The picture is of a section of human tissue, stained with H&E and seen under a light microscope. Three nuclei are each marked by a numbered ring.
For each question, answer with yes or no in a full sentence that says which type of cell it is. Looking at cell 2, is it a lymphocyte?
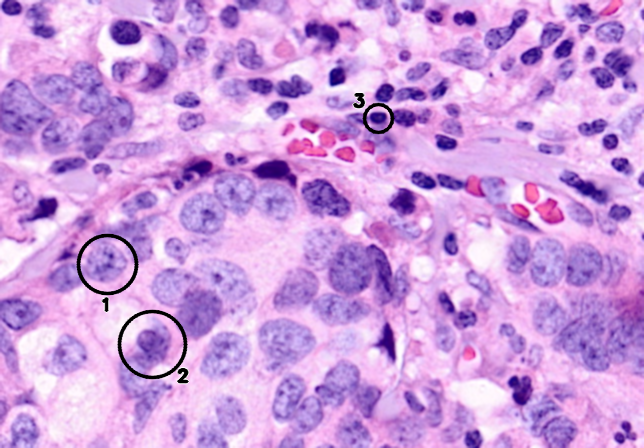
No, cell 2 should be classed as a carcinoma cell, not as a lymphocyte.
